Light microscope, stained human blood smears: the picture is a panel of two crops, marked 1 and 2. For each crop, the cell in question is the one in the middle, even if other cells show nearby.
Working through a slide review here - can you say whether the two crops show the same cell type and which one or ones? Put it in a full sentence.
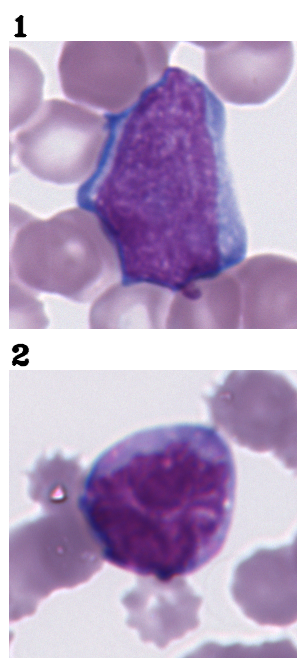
Yes, what both crops show at their centres are myeloblasts.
